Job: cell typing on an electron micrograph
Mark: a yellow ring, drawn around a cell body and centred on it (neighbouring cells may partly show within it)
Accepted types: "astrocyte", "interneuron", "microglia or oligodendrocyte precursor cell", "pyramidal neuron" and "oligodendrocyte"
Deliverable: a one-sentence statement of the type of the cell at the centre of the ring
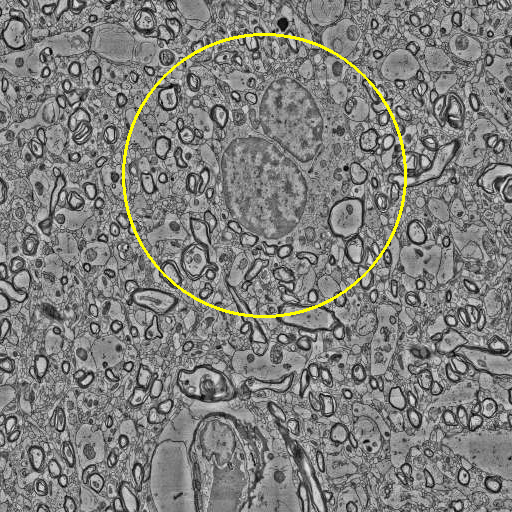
The centred cell body is that of an oligodendrocyte.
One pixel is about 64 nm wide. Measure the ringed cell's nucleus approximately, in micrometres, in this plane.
The ringed cell's nucleus measures approximately 7 by 5 micrometres in this plane.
